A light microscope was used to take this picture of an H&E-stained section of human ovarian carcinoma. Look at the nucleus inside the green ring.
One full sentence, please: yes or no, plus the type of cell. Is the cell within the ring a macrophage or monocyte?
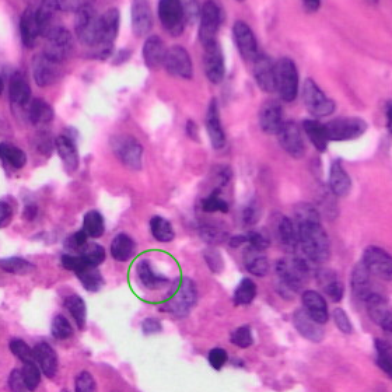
Yes, that the cell within the ring is a macrophage or monocyte is correct.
